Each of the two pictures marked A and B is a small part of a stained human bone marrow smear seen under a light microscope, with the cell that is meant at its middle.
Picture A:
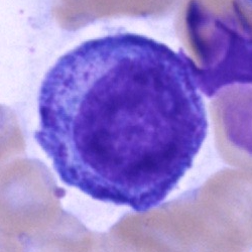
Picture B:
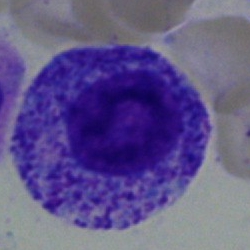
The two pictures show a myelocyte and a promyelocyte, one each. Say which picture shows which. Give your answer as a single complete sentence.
Picture B shows a myelocyte, while picture A shows a promyelocyte.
